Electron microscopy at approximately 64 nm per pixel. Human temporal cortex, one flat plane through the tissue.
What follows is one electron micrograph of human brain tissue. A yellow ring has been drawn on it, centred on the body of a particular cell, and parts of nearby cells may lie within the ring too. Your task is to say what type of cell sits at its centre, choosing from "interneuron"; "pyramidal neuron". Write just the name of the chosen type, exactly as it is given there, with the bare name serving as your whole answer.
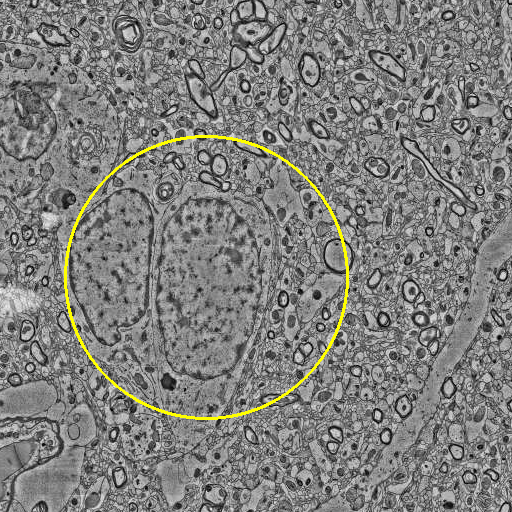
interneuron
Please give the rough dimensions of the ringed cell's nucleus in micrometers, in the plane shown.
In this plane the nucleus measures about 11 by 8 micrometres and is clearly longer than it is wide.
